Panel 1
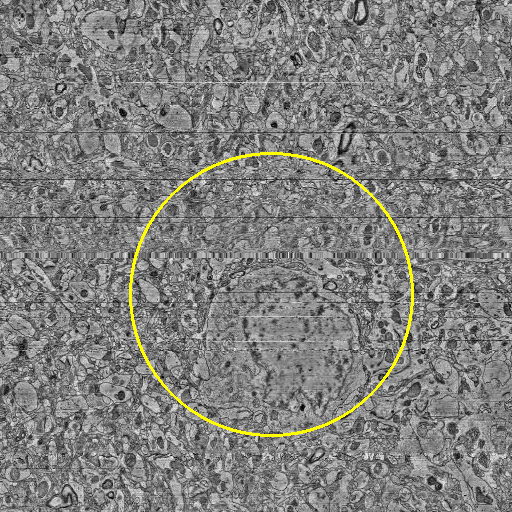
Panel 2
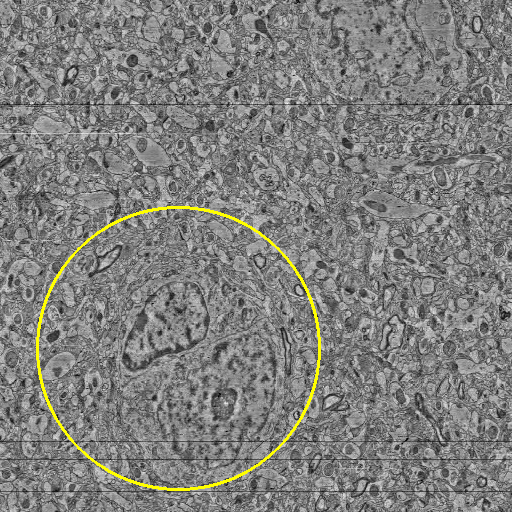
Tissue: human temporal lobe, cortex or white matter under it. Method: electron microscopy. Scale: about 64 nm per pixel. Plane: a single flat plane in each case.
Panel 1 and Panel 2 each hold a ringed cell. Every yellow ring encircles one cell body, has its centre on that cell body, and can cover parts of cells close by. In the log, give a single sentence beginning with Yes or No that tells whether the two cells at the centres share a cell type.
No, in Panel 1 and Panel 2 the centred cells are of two cell types.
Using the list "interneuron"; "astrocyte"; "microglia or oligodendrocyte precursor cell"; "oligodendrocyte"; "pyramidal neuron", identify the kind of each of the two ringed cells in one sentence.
The first is an interneuron and the second is a microglial cell or oligodendrocyte precursor cell.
